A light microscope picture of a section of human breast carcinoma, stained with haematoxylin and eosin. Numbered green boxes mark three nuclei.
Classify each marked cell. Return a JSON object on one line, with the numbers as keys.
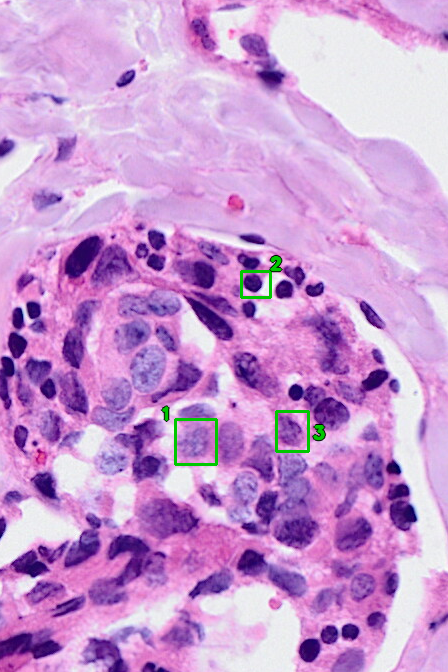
{"1": "carcinoma cell", "2": "lymphocyte", "3": "carcinoma cell"}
